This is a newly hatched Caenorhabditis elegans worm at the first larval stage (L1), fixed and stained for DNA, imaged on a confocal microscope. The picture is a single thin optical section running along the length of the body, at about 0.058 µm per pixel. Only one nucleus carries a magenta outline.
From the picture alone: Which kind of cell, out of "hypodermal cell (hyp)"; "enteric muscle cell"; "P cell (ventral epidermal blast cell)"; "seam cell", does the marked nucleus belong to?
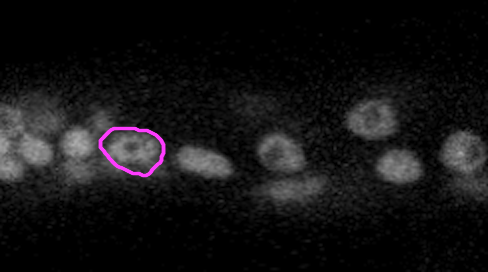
P cell (ventral epidermal blast cell)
